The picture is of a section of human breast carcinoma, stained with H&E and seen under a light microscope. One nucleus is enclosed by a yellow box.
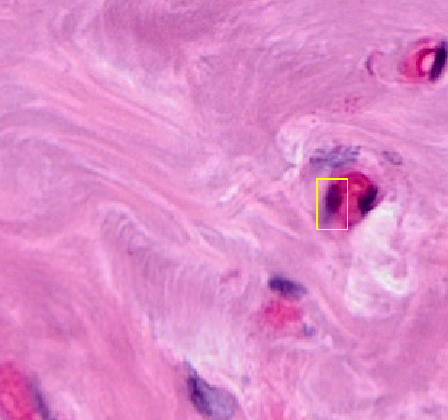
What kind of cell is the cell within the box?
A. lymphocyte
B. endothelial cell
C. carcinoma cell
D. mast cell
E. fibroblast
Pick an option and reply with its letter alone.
B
